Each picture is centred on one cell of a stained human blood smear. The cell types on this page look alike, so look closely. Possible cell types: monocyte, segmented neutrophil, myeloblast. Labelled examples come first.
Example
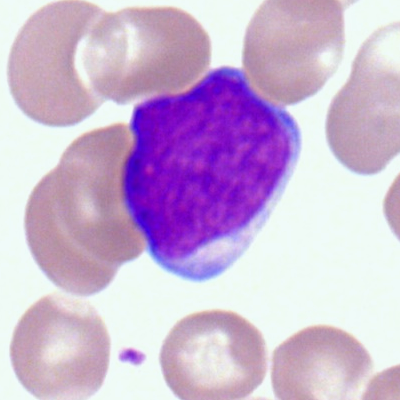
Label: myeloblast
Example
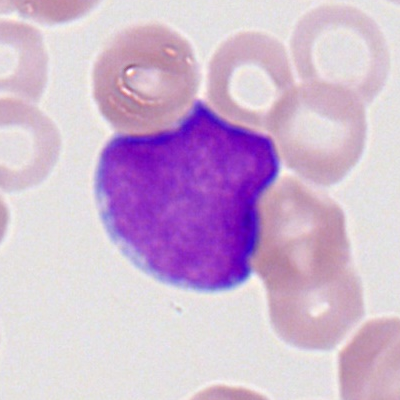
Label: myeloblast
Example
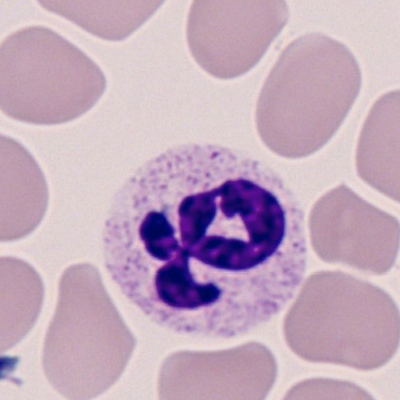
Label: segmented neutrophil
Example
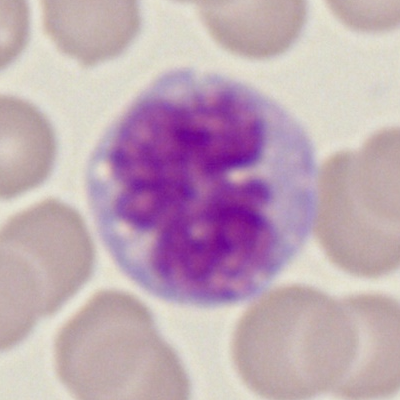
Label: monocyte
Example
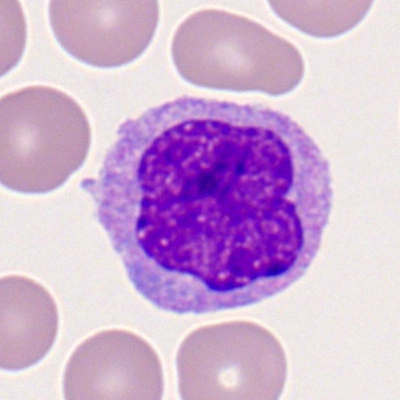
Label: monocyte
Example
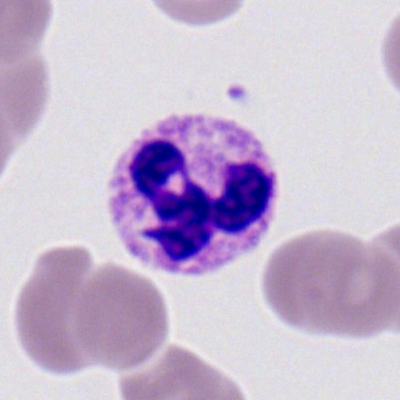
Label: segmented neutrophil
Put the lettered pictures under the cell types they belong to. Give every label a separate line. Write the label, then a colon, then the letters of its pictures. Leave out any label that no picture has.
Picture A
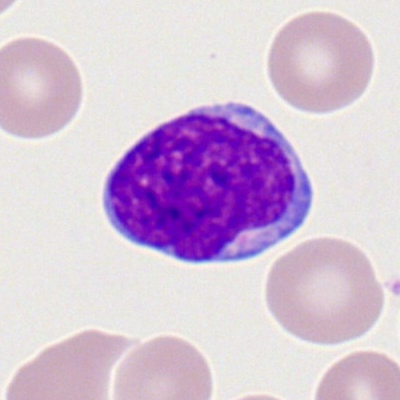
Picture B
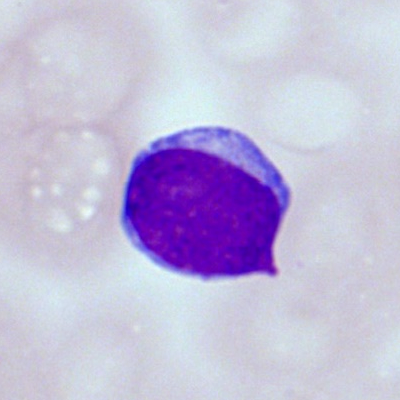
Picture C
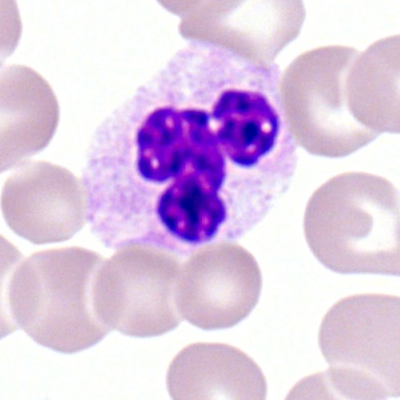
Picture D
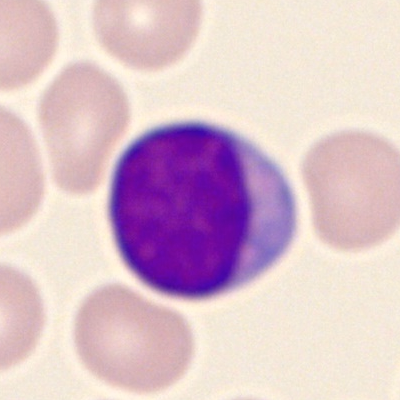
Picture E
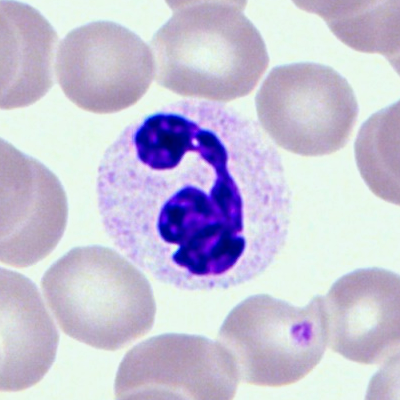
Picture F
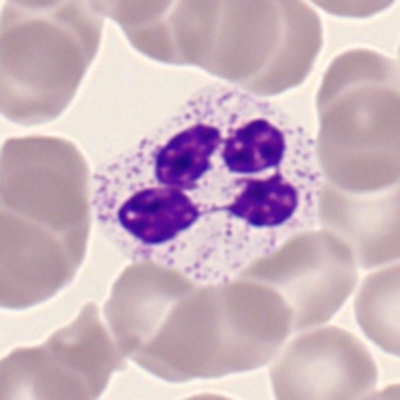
segmented neutrophil: C, E, F
myeloblast: A, B, D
